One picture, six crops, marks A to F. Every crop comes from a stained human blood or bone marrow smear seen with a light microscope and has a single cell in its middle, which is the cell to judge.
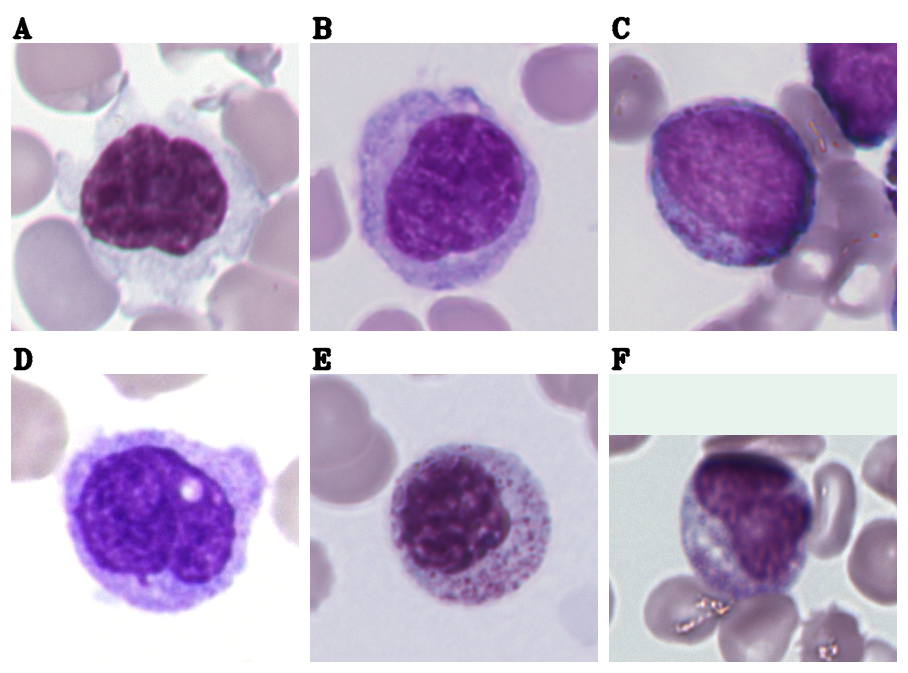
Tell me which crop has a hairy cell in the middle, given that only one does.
A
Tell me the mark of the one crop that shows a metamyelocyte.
F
